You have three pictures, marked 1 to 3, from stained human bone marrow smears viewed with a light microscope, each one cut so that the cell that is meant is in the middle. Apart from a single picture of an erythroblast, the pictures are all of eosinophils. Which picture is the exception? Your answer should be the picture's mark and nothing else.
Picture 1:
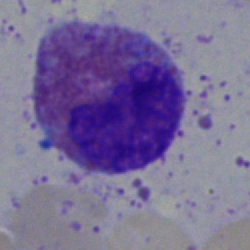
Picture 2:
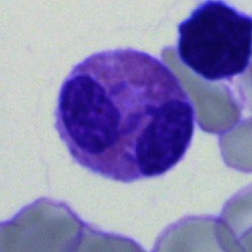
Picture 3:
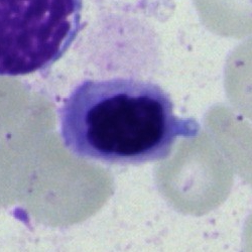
3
